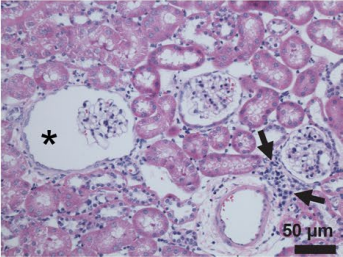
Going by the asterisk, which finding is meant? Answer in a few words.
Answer: Enlarged Bowman’s space.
